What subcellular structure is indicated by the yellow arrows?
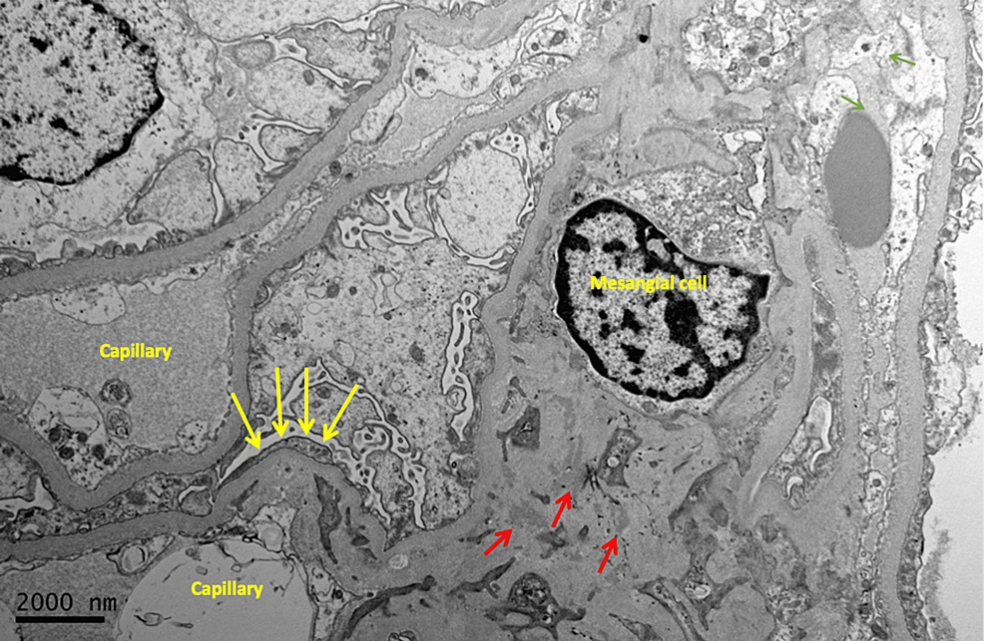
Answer: Attenuated podocyte foot processes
